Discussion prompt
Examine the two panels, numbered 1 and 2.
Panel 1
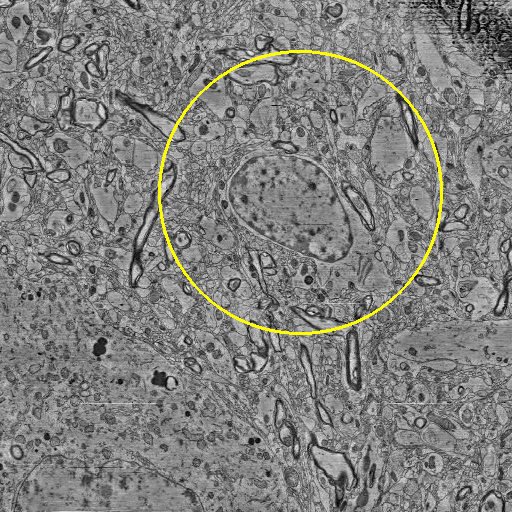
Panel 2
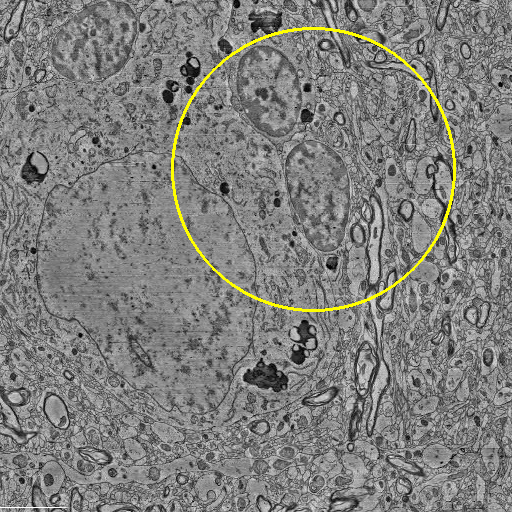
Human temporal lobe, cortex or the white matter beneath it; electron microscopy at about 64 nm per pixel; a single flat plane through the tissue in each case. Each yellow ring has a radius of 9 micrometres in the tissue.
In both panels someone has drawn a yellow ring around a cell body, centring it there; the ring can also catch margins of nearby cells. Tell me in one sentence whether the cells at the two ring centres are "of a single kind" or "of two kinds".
Taken together, the two cells centred in the rings of Panels 1 and 2 are of a single kind.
